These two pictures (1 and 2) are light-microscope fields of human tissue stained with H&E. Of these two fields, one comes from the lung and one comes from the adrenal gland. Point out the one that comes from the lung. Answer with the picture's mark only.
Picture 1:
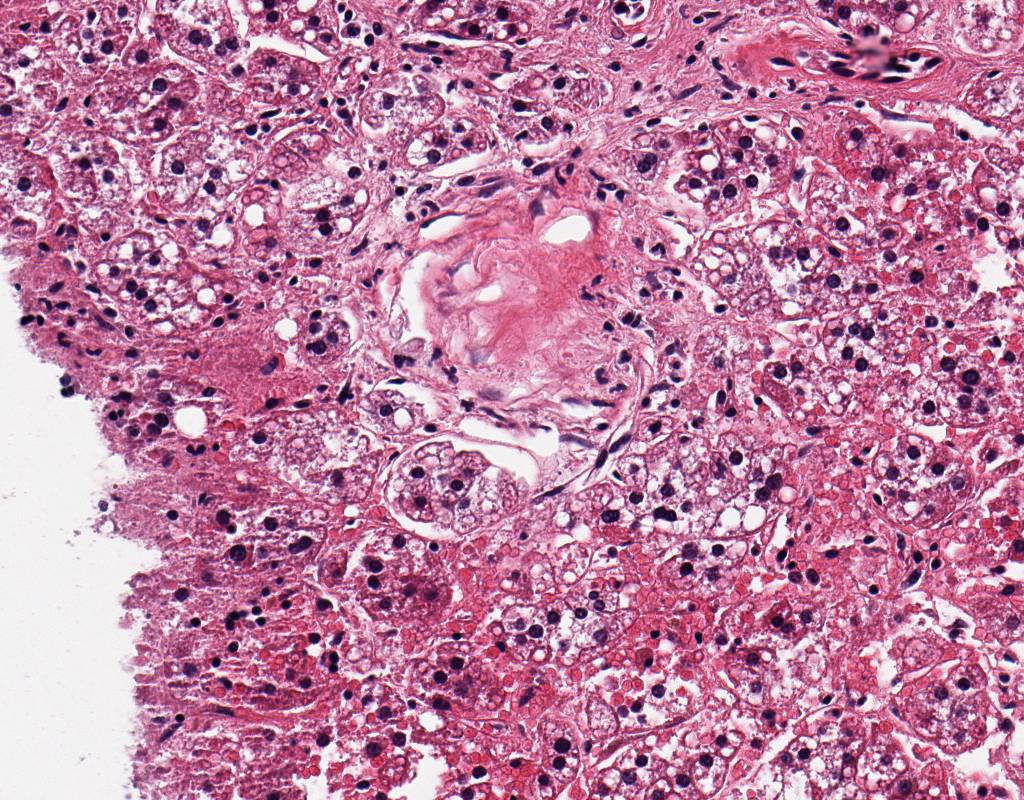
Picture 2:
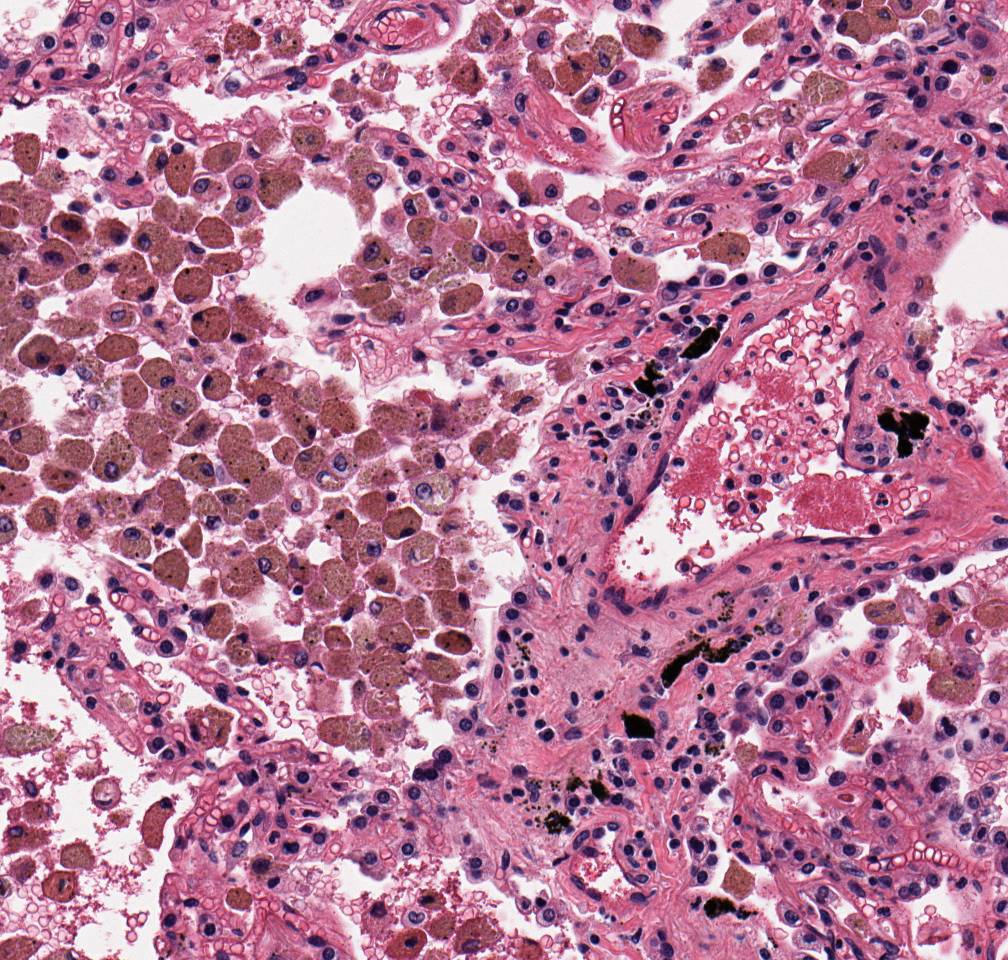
2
